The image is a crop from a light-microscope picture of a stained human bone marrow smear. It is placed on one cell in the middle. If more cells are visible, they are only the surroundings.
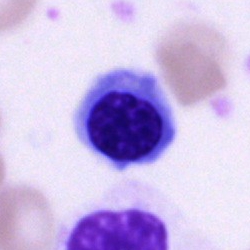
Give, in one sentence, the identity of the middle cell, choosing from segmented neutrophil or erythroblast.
The crop's centre is taken up by an erythroblast.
